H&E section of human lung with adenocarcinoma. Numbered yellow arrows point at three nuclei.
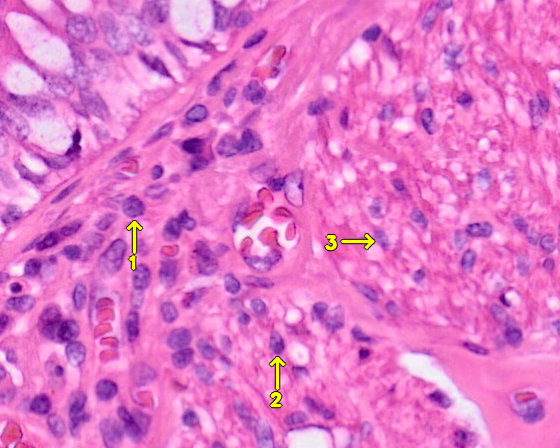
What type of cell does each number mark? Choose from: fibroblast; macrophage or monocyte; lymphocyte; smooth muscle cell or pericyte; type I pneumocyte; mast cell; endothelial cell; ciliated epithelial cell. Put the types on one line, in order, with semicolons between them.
lymphocyte; smooth muscle cell or pericyte; smooth muscle cell or pericyte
